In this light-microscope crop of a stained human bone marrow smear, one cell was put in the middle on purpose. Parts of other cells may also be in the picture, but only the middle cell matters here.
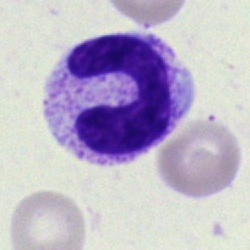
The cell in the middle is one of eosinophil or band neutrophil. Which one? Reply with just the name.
band neutrophil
